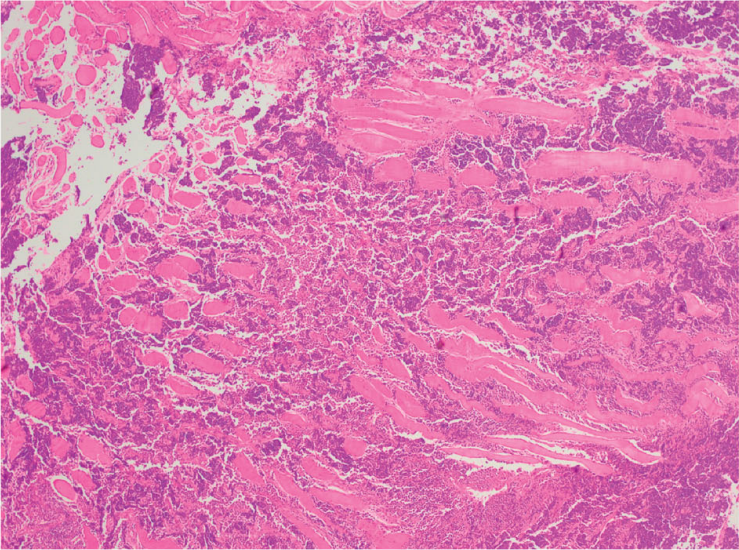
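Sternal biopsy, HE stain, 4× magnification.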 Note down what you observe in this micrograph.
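At low power this shows tumour cells infiltrating between skeletal muscle fibres. The muscle bundles appear separated and surrounded by the tumour.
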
